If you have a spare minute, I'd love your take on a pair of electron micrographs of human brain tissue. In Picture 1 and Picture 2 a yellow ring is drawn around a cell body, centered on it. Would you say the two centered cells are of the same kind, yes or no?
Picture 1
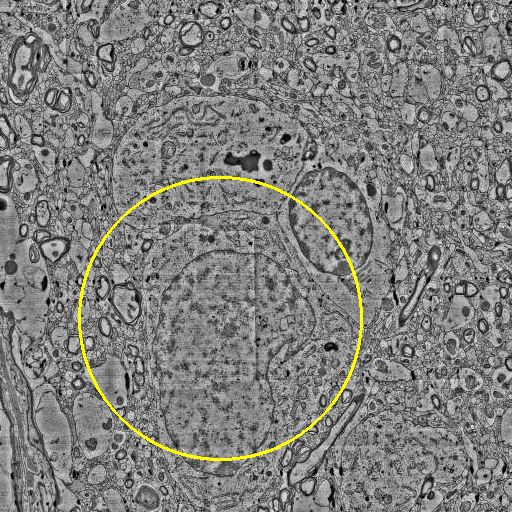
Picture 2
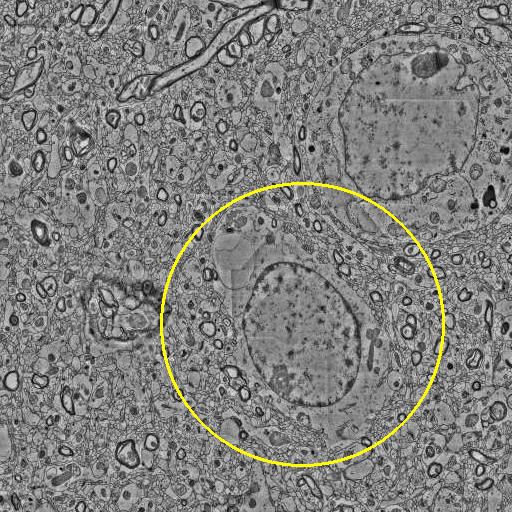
no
